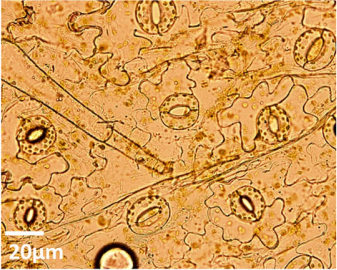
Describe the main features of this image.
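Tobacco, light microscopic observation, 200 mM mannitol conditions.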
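This surface view of leaf epidermis shows many stomata set among wavy, jigsaw-shaped epidermal cells. Each stoma is formed by a pair of kidney-shaped guard cells packed with small dark granules. The pores between the guard cells are mostly narrow slits rather than wide oval openings. A long, narrow hair-like structure of elongated cells crosses the field diagonally, and a large round dark-rimmed object sits at the lower edge.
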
